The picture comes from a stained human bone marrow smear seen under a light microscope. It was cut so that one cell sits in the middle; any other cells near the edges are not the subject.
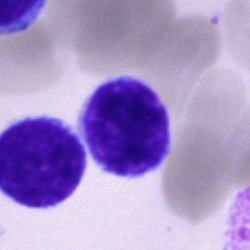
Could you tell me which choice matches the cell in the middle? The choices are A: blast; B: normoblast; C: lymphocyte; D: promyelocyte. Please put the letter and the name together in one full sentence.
The cell at the centre, correctly named in option C, is a lymphocyte.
